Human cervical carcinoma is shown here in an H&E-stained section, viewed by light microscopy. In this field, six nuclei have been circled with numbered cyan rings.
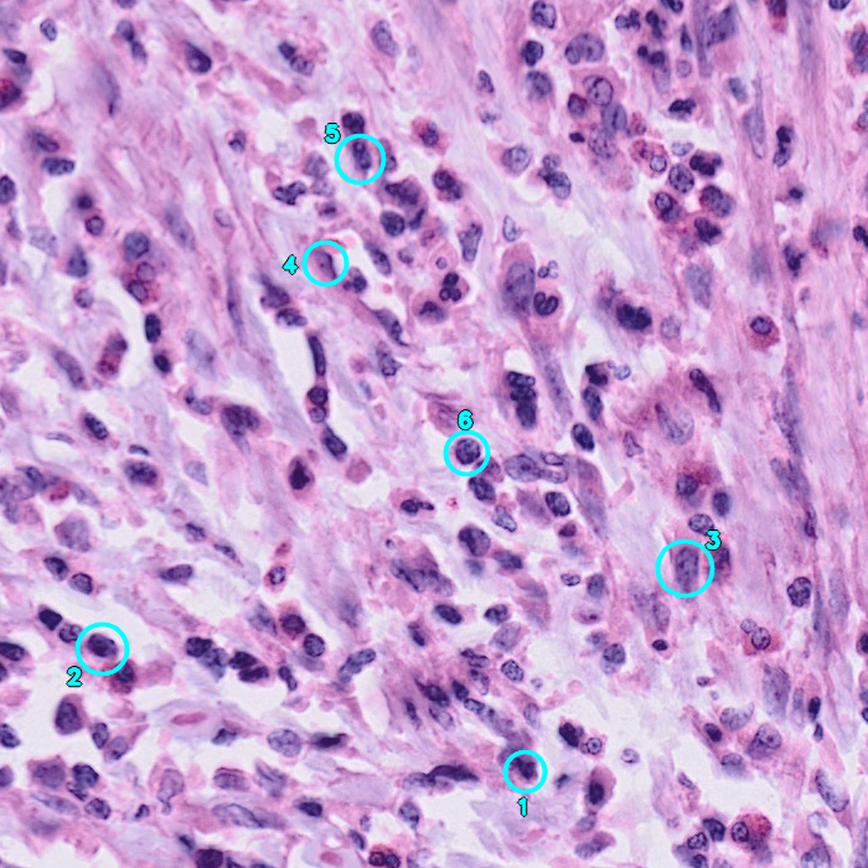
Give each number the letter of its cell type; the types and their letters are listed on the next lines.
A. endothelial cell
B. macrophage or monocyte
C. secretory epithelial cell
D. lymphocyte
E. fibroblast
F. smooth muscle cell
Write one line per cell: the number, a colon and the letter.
1: D
2: D
3: B
4: A
5: D
6: D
